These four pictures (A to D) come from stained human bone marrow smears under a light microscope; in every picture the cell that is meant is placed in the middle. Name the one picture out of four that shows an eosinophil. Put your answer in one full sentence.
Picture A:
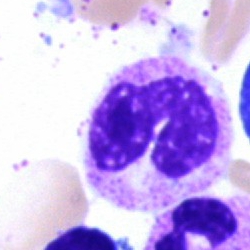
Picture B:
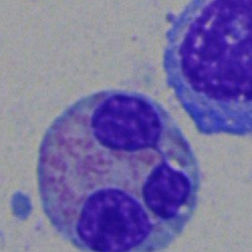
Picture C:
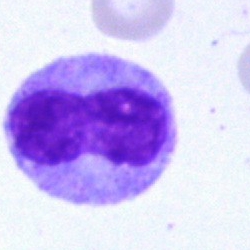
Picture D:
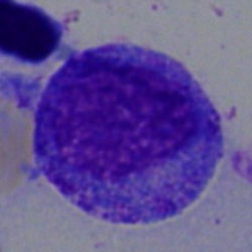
Picture B shows the eosinophil.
